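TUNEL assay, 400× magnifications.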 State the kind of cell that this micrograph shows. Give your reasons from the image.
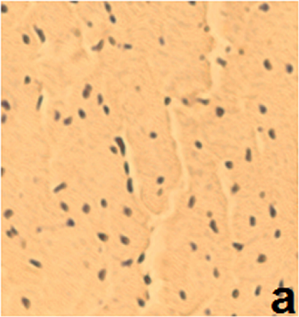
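Tissue made of long fibres with pale, finely textured cytoplasm.
Myocytes.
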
